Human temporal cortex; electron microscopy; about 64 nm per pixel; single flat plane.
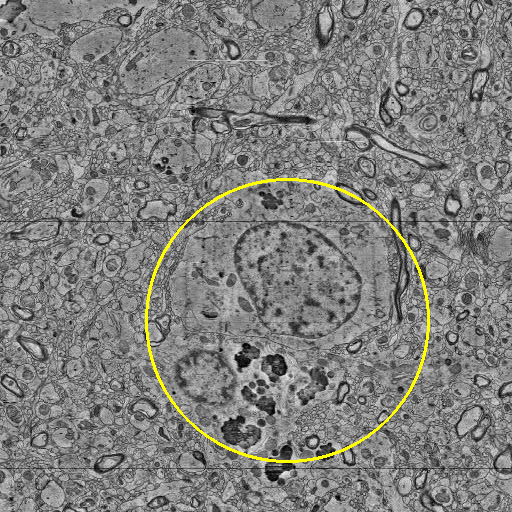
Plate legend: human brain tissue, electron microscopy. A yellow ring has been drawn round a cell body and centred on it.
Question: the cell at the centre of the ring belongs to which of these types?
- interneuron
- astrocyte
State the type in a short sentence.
The cell in the middle of the ring is an astrocyte.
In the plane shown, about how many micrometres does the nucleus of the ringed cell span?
Roughly 9 by 7 micrometres in this plane, for the nucleus of the ringed cell.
